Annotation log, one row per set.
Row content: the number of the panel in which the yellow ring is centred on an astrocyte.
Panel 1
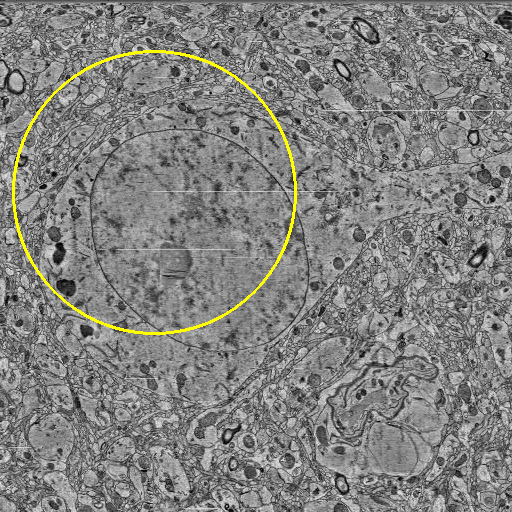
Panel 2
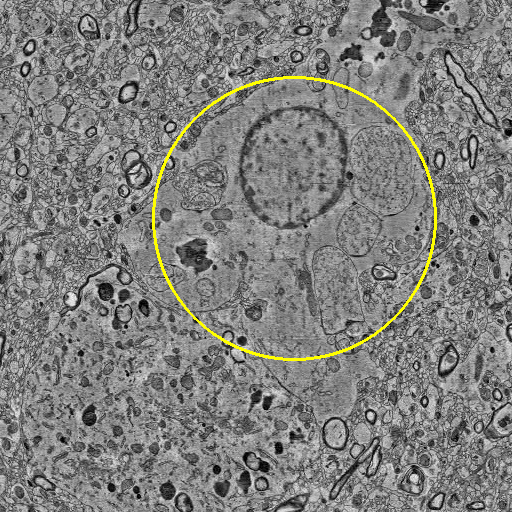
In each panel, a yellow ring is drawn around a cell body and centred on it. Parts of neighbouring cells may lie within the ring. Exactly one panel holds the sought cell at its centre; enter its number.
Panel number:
2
